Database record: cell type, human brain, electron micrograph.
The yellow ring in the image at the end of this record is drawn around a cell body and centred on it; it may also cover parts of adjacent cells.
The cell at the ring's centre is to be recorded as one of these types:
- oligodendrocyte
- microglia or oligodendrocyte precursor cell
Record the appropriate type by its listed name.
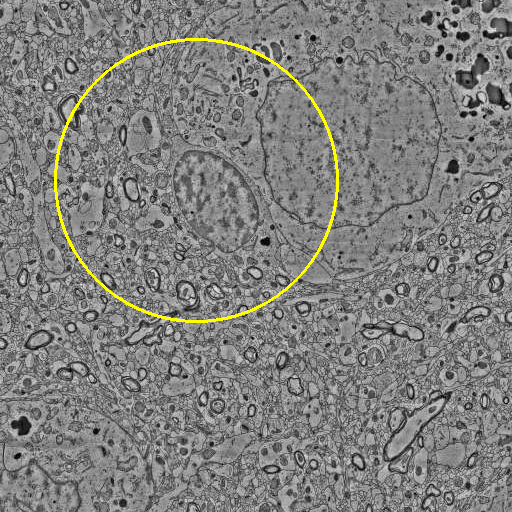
oligodendrocyte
